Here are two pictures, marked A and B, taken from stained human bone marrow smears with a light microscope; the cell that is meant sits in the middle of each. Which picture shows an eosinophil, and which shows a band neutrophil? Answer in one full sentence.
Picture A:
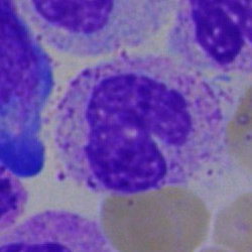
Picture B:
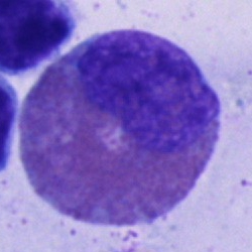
Picture A shows a band neutrophil and picture B shows an eosinophil.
